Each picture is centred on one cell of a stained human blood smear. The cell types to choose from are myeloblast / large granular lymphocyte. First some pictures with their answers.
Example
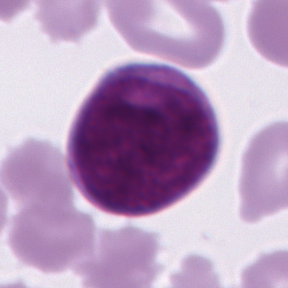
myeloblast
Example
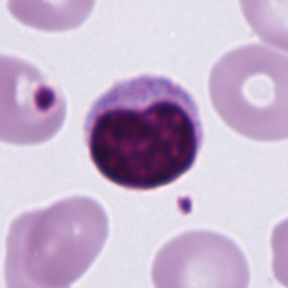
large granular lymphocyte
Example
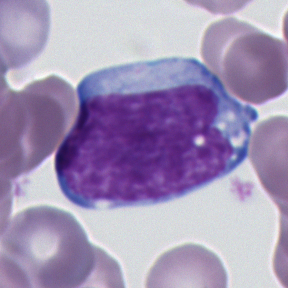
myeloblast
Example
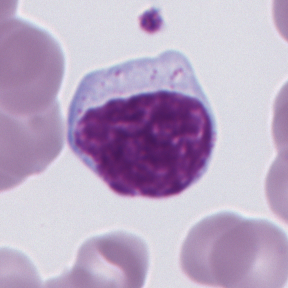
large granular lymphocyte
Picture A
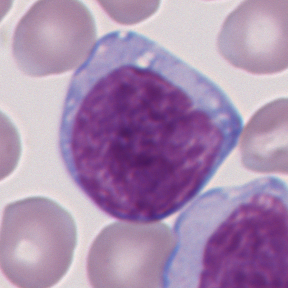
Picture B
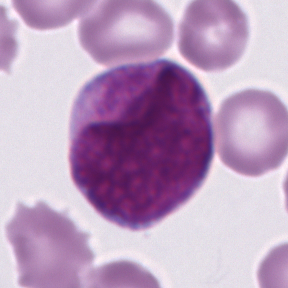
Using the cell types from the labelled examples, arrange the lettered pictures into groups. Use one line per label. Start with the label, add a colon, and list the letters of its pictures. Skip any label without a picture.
myeloblast: A, B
